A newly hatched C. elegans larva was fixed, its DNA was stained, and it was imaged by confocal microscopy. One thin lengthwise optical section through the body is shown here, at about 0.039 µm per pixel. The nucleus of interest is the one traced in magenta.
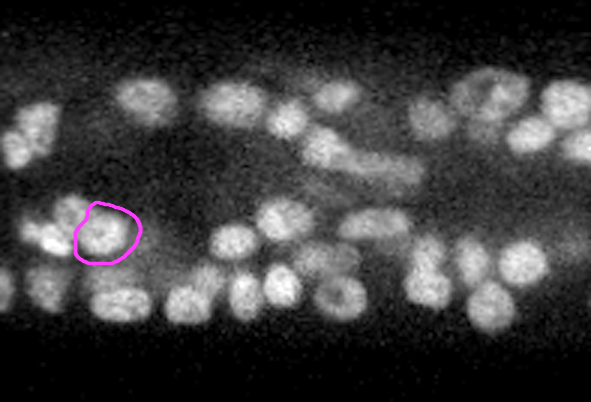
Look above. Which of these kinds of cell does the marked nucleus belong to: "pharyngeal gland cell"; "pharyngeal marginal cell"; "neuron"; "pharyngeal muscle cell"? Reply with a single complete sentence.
This is the nucleus of a pharyngeal gland cell.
